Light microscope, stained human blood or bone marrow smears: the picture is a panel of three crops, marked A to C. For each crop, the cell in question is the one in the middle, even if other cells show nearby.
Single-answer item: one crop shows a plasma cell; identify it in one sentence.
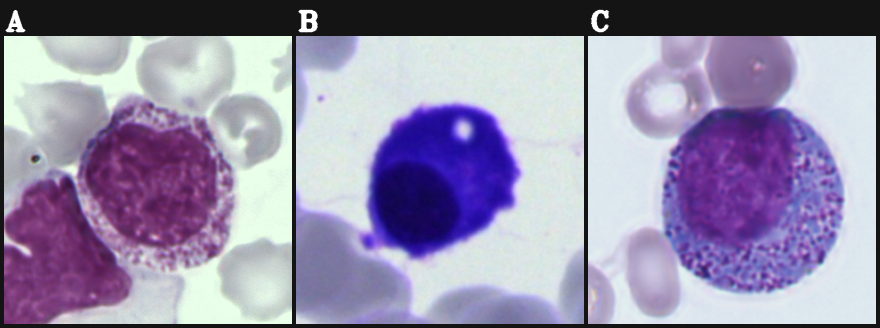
That would be crop B; it shows a plasma cell.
